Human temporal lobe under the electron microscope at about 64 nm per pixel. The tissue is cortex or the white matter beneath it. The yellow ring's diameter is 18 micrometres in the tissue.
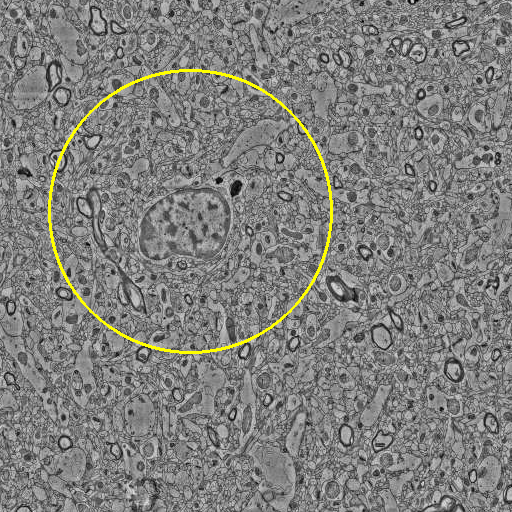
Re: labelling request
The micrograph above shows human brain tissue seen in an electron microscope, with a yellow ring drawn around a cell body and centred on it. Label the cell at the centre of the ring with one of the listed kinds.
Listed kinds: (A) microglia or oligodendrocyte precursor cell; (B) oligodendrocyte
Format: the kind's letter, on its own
A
